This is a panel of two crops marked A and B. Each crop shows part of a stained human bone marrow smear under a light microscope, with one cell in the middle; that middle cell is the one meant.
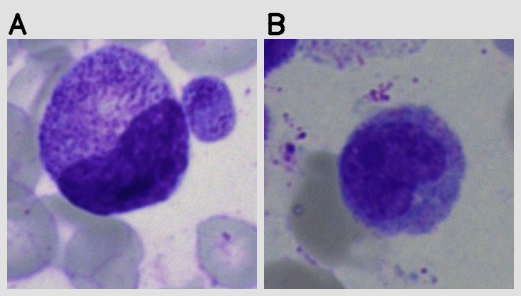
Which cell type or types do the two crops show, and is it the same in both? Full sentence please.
Yes, the first and the second crop both show metamyelocytes.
